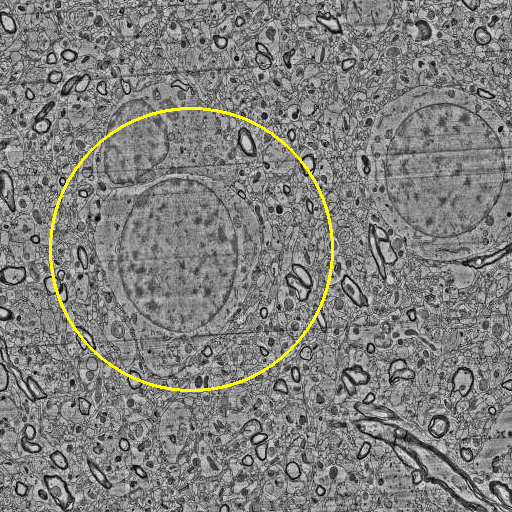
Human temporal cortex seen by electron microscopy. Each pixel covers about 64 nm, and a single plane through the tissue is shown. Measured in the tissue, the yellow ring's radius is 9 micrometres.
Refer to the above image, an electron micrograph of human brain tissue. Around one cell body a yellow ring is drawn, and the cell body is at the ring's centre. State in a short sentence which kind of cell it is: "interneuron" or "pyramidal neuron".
The centre of the ring falls on an interneuron.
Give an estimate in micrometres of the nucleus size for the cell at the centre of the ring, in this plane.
The nucleus works out at approximately 10 by 8 micrometres in this plane.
